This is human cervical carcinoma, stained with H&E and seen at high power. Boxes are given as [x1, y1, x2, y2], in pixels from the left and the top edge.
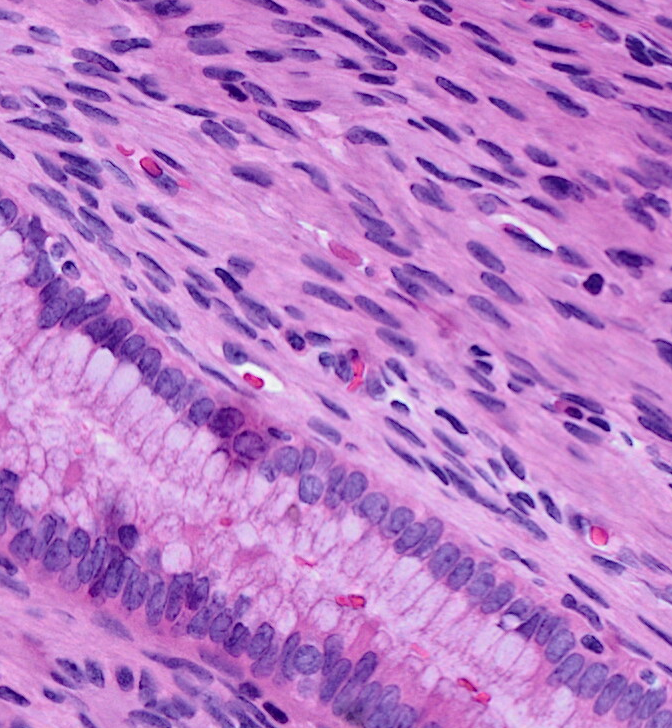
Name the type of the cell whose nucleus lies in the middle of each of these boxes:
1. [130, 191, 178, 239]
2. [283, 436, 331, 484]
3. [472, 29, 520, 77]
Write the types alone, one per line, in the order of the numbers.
fibroblast
secretory epithelial cell
fibroblast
